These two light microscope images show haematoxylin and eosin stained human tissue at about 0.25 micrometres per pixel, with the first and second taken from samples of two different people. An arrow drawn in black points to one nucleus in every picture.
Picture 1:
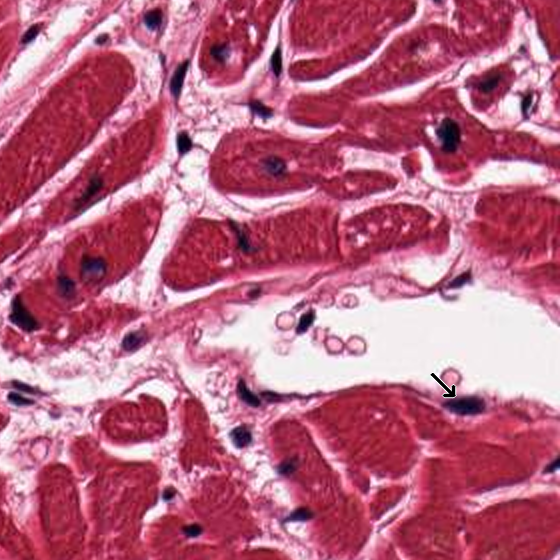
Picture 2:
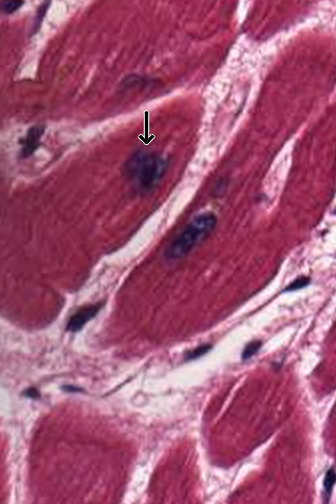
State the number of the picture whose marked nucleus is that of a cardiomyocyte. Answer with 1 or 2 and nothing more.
2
